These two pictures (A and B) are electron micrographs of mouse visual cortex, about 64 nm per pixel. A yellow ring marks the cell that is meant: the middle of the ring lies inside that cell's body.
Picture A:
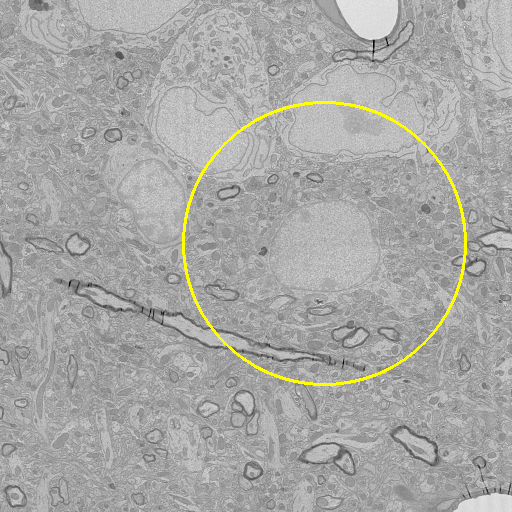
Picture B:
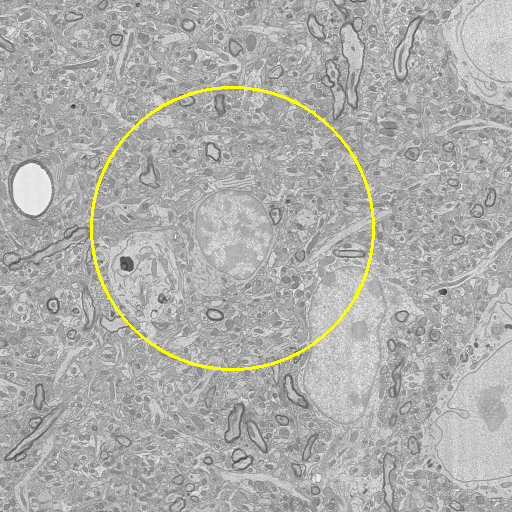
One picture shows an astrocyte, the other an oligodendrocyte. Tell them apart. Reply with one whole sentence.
Picture A is of an astrocyte, and picture B is of an oligodendrocyte.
